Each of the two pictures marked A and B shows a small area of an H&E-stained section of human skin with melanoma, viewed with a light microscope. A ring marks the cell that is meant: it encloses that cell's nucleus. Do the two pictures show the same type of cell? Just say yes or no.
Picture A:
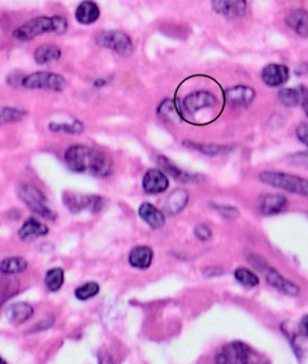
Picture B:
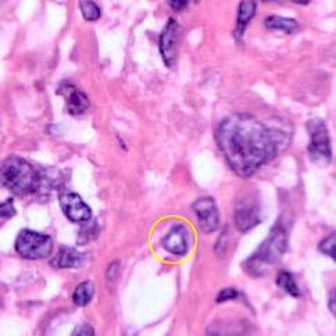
yes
